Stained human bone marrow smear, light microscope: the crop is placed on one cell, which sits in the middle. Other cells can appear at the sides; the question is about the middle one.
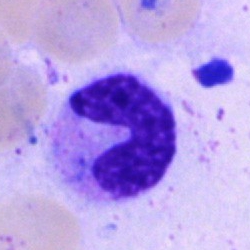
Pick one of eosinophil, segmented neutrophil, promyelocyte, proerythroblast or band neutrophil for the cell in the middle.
band neutrophil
